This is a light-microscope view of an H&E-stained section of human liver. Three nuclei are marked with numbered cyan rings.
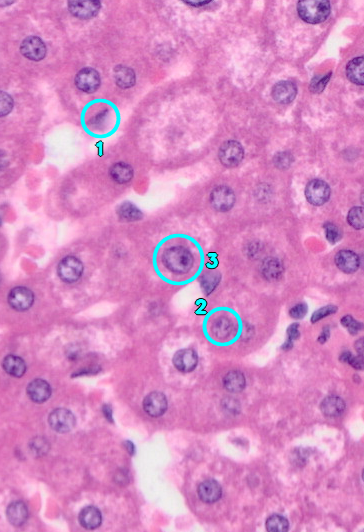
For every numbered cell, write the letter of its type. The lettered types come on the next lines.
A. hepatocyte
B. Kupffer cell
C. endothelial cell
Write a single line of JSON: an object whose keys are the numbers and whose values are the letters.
{"1": "C", "2": "A", "3": "A"}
